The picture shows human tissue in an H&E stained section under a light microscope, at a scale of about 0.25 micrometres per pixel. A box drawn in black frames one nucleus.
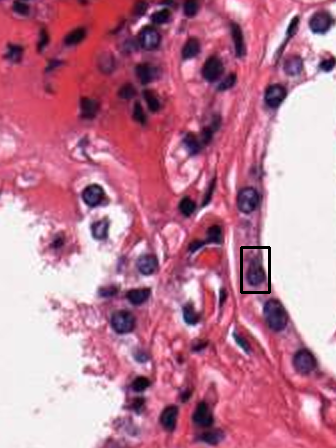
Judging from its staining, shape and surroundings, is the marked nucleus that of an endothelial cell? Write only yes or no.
no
